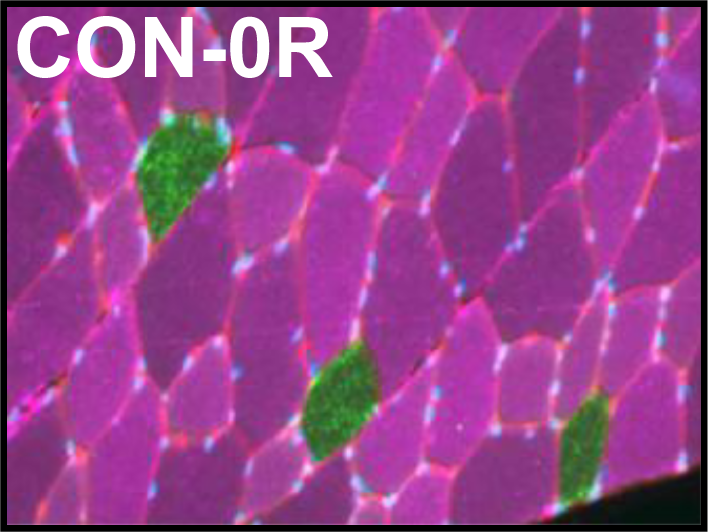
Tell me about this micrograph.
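A cross section of muscle fibers packed closely together, each a large polygonal profile outlined by a thin red border. Most fibers fill evenly with pink, while a few scattered fibers are green instead, standing out singly among the pink ones. Small bright bluish-white dots sit along the fiber borders, at the periphery of the fibers rather than in their middles. A dark gap crosses one corner. Altogether this is the ordinary mosaic of muscle fibers seen in transverse section, with two fiber colours intermingled.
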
